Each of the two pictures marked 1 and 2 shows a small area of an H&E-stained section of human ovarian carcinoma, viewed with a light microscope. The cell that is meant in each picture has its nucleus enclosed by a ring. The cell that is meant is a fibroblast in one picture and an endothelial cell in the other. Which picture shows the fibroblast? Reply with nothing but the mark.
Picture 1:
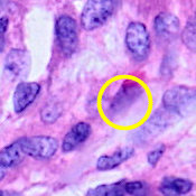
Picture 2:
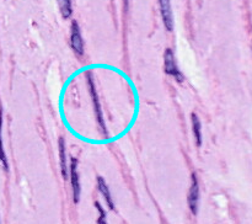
2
